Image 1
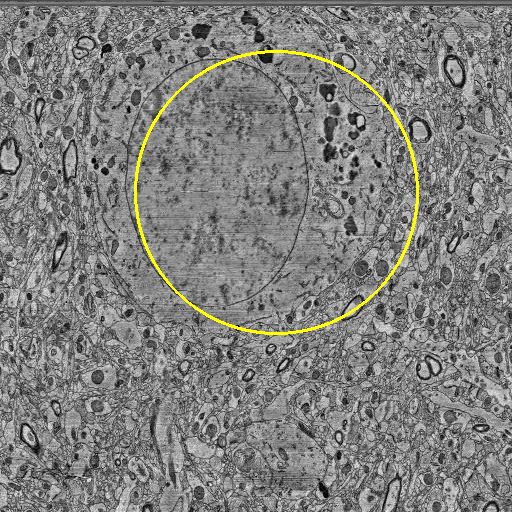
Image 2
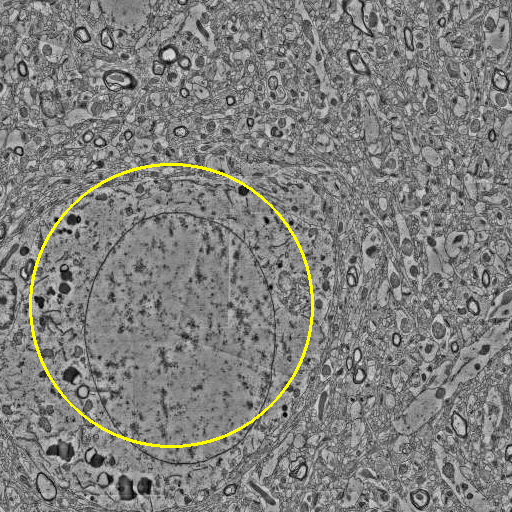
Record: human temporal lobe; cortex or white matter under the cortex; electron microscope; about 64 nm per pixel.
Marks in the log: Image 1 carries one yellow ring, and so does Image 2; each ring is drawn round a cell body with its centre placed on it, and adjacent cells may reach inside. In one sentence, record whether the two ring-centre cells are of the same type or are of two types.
The two cells at the ring centres, one in each image, are of the same type.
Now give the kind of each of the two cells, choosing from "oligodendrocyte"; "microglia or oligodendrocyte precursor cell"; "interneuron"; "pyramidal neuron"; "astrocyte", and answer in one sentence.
Each cell, in the first picture and the second, is a pyramidal neuron.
